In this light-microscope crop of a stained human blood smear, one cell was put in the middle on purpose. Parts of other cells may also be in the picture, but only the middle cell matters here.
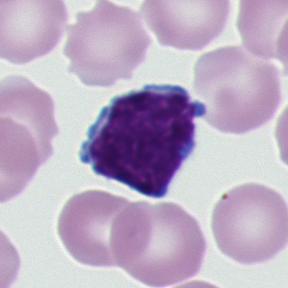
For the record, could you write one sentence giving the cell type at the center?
Standing at the centre of this crop is a typical lymphocyte.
